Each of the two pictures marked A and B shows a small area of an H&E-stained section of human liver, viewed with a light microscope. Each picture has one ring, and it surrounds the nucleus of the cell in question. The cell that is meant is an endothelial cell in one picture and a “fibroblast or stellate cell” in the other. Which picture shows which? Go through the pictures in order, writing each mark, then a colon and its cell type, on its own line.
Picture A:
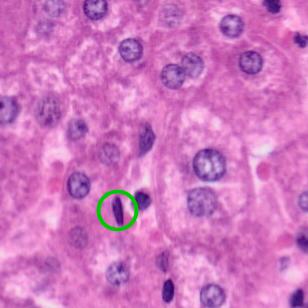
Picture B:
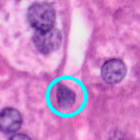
A: fibroblast or stellate cell
B: endothelial cell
